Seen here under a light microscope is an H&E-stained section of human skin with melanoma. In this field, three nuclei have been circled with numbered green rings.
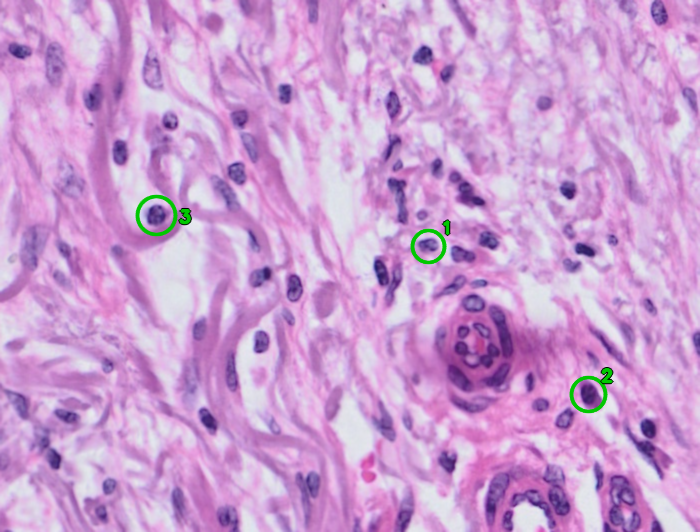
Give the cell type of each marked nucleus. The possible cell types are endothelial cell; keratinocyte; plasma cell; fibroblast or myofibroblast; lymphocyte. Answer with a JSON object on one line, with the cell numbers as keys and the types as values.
{"1": "lymphocyte", "2": "plasma cell", "3": "lymphocyte"}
